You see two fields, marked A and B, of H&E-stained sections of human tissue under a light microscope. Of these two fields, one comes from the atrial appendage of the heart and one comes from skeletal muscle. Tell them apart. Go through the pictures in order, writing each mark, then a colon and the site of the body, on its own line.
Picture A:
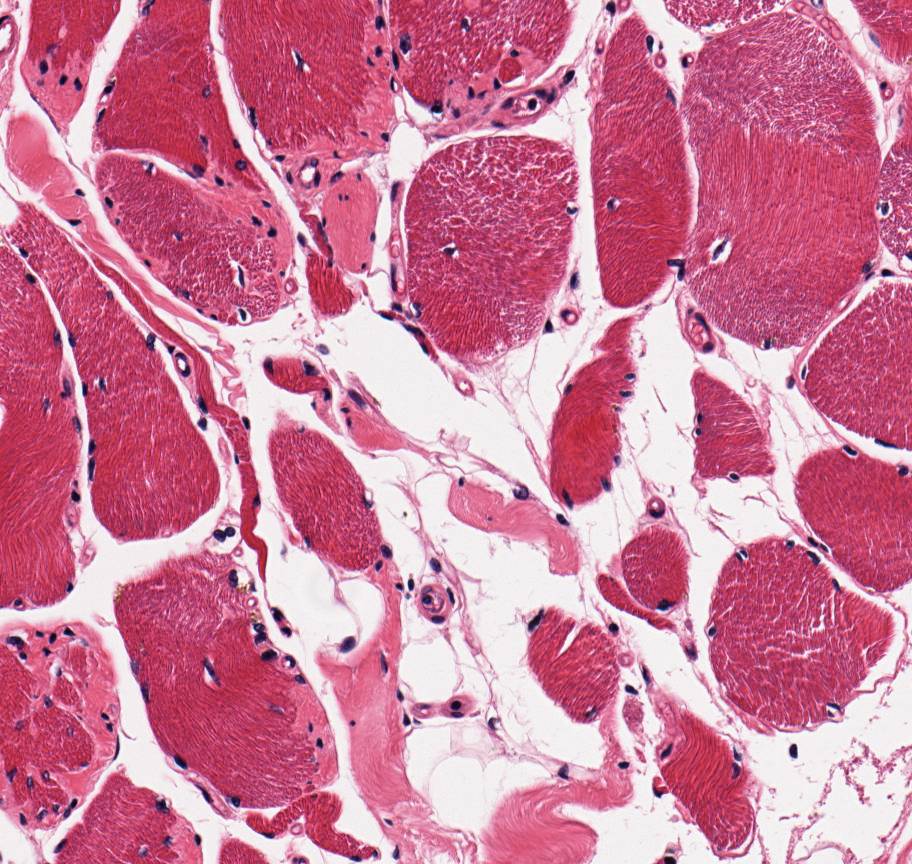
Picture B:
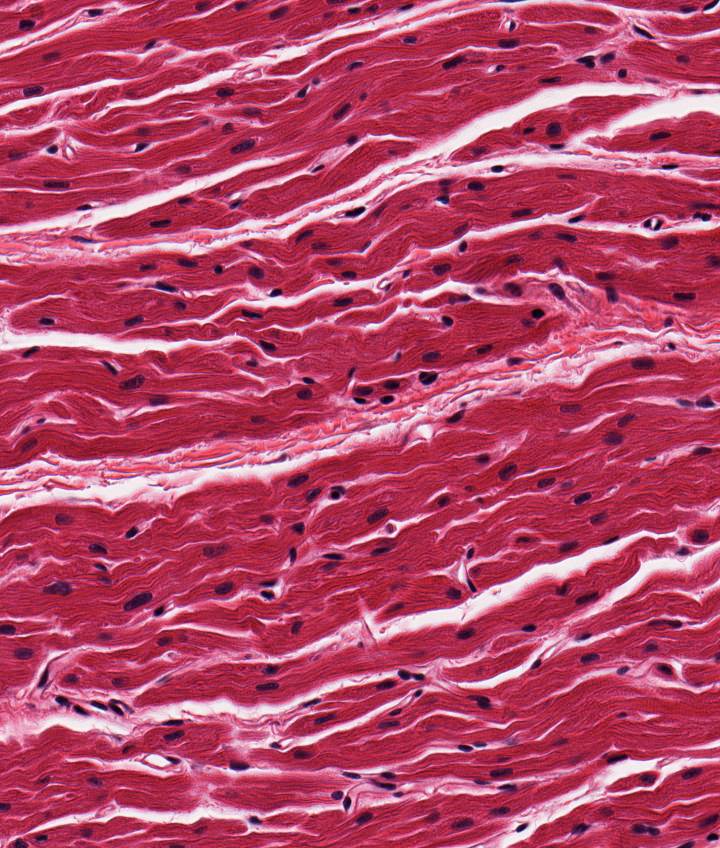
A: skeletal muscle
B: atrial appendage of the heart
